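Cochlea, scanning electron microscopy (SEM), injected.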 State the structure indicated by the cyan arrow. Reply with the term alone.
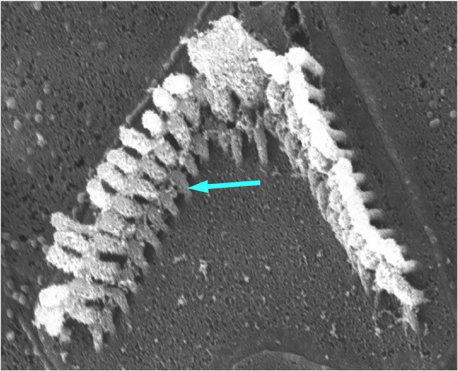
Shorter stereocilia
